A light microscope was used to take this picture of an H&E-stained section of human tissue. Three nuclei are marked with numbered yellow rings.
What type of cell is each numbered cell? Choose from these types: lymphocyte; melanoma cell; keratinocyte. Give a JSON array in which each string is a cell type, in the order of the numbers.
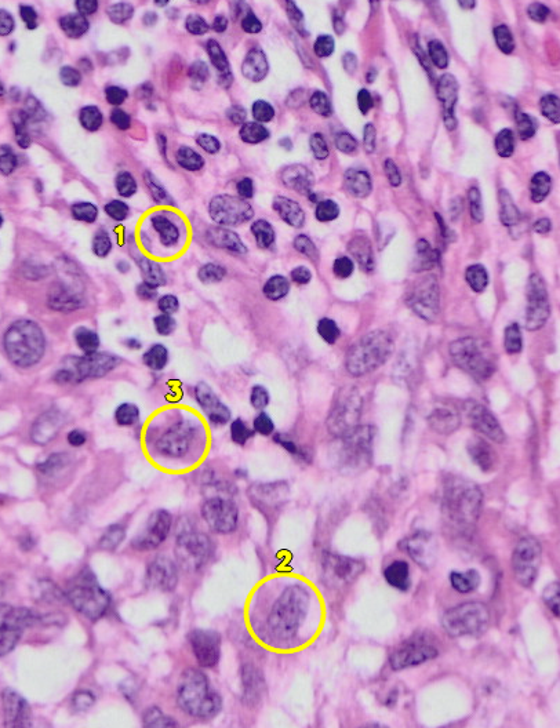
["lymphocyte", "melanoma cell", "melanoma cell"]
